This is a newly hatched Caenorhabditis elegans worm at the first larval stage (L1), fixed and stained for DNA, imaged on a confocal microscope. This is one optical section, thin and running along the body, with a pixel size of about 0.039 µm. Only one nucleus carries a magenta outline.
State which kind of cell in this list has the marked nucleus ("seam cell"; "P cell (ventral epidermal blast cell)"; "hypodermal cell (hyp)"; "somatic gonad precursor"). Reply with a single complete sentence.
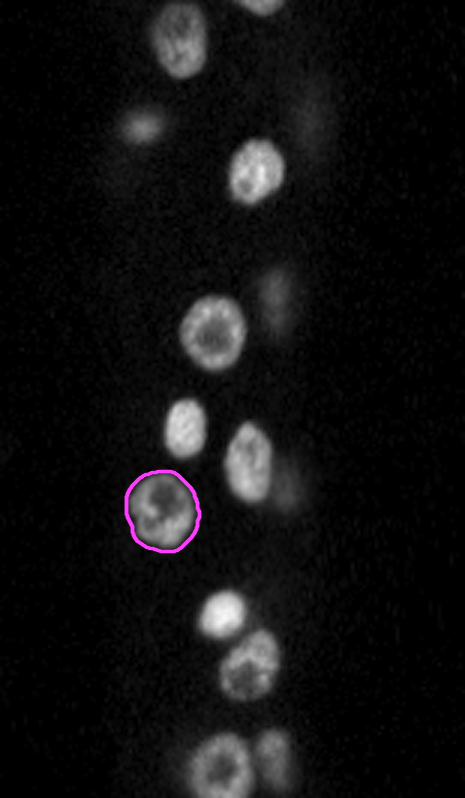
The marked nucleus is that of a hypodermal cell (hyp).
